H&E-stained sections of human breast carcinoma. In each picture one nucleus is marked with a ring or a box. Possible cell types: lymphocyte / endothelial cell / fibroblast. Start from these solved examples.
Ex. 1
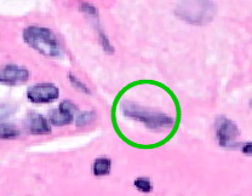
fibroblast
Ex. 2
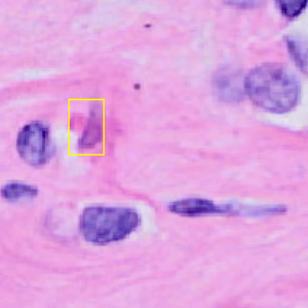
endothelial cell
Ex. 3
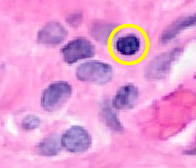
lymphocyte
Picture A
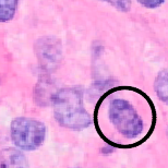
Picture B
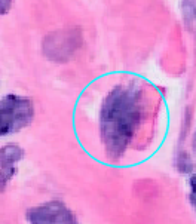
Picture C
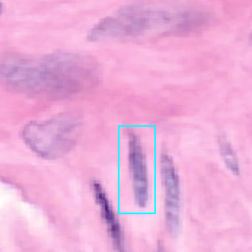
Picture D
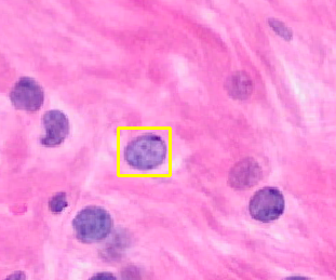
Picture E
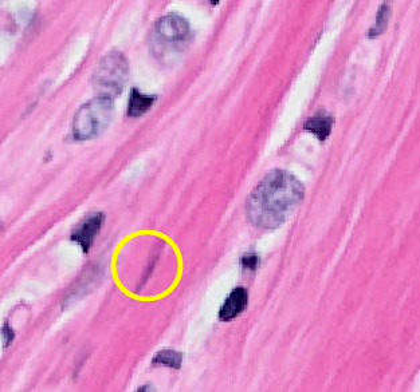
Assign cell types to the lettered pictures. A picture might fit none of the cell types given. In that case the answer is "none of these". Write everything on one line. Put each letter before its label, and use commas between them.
A none of these, B endothelial cell, C endothelial cell, D none of these, E fibroblast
